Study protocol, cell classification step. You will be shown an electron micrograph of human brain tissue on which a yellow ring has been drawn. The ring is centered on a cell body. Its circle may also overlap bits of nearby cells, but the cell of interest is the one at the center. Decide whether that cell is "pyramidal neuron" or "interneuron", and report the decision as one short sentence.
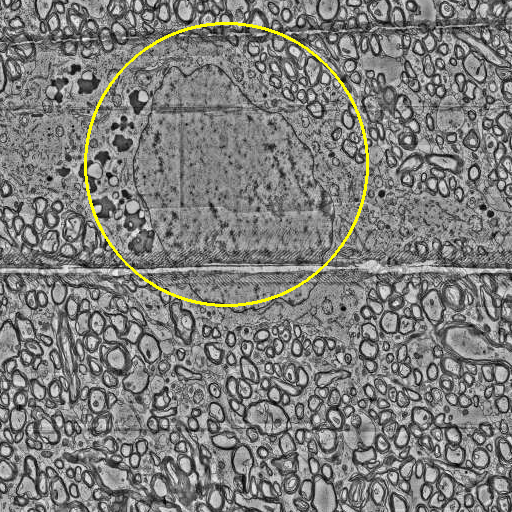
The marked cell is a pyramidal neuron.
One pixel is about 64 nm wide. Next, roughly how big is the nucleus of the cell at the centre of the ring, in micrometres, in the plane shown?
In this plane the nucleus spans approximately 17 by 11 micrometers.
